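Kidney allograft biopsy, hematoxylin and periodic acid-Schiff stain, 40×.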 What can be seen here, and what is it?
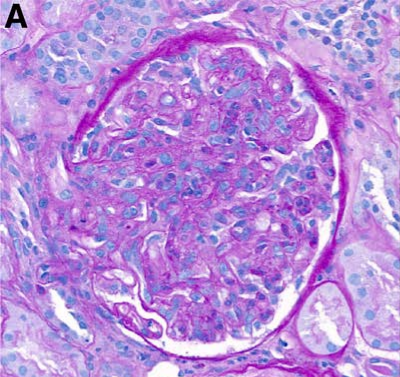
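The tuft is crowded with blue-stained nuclei and nearly fills Bowman's space, leaving only a thin rim of space beneath the capsule. Capillary lumens are mostly closed, and the magenta-stained matrix and capillary walls give the tuft a thickened, lobular look. A magenta Bowman's capsule surrounds the glomerulus, and tubules with pale pink cytoplasm lie around it.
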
